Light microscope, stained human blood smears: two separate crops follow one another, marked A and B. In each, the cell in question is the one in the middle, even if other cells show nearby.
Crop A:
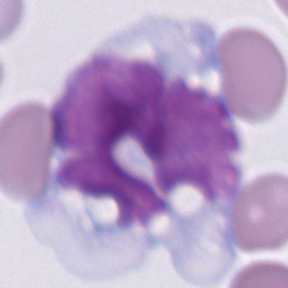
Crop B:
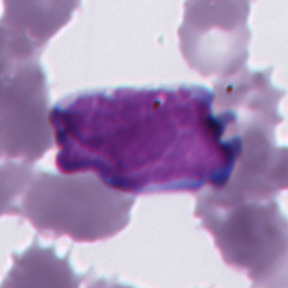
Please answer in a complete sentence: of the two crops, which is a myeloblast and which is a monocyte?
The cell centred in crop A is a monocyte, while the one centred in crop B is a myeloblast.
